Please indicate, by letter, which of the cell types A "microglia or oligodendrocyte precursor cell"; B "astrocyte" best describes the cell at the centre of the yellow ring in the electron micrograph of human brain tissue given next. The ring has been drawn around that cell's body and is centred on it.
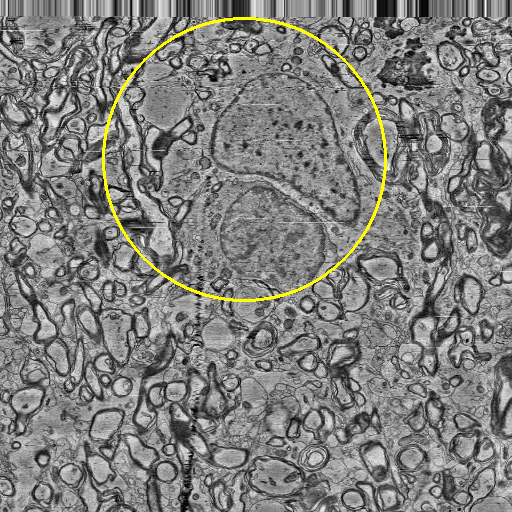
B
